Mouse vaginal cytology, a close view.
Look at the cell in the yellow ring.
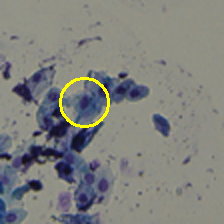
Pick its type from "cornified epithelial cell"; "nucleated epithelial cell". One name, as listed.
nucleated epithelial cell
